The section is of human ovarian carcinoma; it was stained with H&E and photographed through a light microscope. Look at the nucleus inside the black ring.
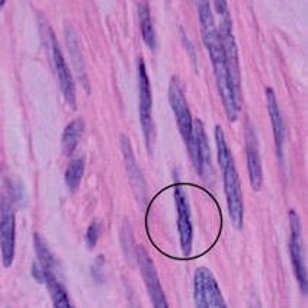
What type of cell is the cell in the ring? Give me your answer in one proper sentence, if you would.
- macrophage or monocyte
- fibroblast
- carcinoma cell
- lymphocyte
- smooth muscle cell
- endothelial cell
The category to which the cell in the ring belongs is that of a smooth muscle cell.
